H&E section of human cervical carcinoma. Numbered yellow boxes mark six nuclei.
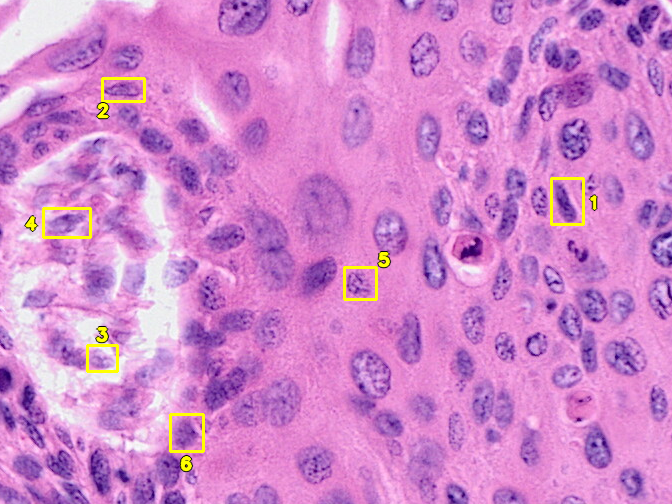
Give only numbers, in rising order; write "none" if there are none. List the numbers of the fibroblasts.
3, 4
